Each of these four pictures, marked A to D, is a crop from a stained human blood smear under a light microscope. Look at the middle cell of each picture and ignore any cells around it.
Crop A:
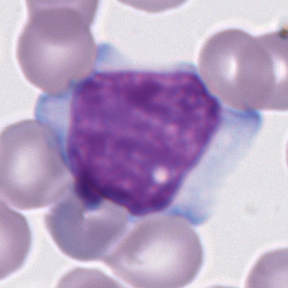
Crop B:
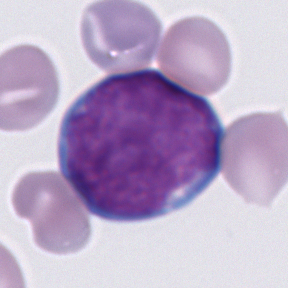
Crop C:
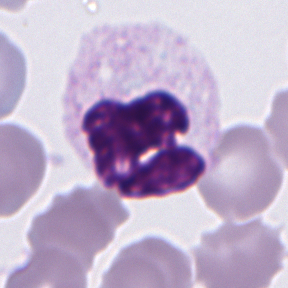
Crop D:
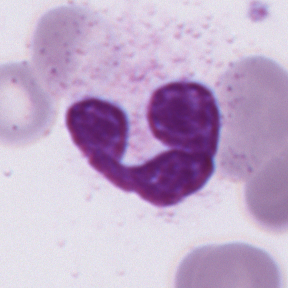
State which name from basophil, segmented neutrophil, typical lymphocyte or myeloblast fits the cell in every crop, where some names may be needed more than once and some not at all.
A: myeloblast
B: myeloblast
C: segmented neutrophil
D: segmented neutrophil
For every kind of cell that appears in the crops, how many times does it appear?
myeloblast: 2
segmented neutrophil: 2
